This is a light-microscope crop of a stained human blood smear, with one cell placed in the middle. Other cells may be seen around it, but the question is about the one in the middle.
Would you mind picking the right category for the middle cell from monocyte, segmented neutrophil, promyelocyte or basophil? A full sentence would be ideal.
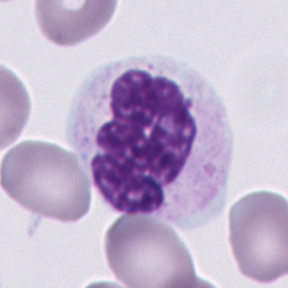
The centered cell in this crop is a segmented neutrophil.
